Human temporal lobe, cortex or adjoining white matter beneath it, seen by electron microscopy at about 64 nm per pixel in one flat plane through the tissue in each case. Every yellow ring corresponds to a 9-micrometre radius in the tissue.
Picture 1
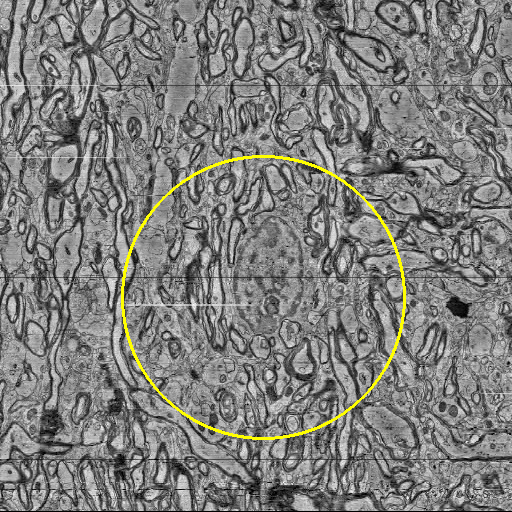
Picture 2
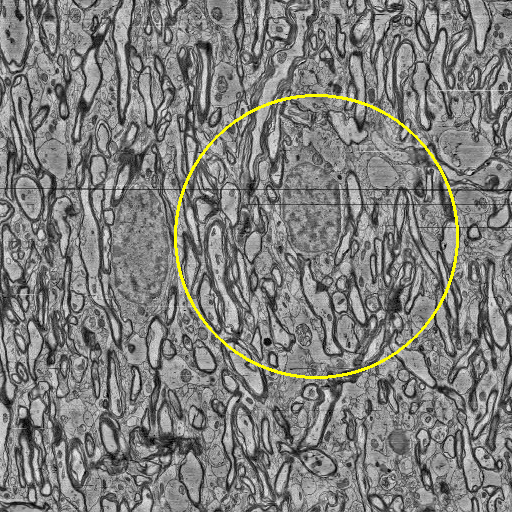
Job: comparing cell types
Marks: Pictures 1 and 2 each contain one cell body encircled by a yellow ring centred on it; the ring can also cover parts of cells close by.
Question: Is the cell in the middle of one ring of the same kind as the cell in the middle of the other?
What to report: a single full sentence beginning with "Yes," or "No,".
Yes, the cell at the ring centre in Picture 1 and its partner in Picture 2 are of one kind.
